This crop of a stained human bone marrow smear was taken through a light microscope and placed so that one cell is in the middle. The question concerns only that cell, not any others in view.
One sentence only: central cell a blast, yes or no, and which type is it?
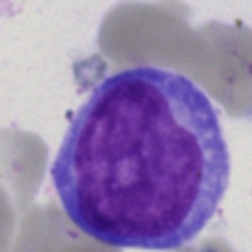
Yes, the cell at the midpoint of the crop is a blast.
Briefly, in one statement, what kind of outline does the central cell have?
Smooth all around, the outline has no projections to report.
